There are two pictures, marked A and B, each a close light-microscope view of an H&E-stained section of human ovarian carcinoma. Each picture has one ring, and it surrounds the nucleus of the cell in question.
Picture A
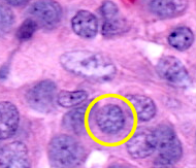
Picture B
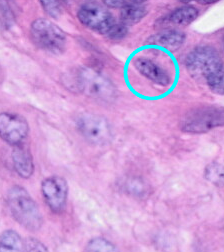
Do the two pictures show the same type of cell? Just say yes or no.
no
